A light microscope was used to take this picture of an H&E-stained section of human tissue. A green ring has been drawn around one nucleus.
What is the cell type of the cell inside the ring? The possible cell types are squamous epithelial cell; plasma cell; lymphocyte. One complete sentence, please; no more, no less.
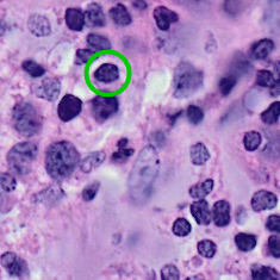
It is as a lymphocyte that the cell inside the ring is classified.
